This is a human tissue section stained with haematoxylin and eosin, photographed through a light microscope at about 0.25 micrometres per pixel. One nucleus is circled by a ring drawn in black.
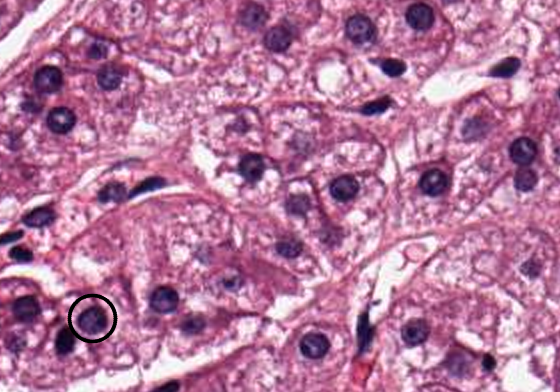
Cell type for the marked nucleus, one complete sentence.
The nucleus that has been marked belongs to an adrenal cortical cell.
